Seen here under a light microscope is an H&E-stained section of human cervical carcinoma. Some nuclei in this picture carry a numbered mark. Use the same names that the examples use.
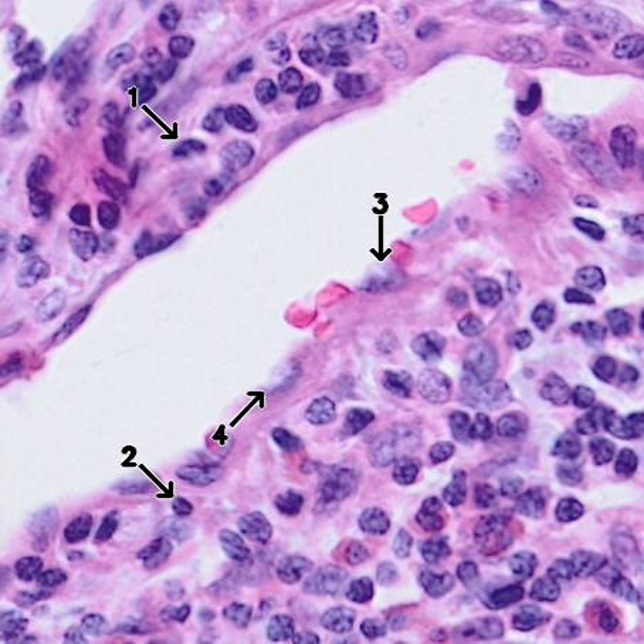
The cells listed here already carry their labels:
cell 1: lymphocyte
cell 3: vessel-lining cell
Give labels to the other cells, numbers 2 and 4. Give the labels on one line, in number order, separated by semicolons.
lymphocyte; vessel-lining cell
